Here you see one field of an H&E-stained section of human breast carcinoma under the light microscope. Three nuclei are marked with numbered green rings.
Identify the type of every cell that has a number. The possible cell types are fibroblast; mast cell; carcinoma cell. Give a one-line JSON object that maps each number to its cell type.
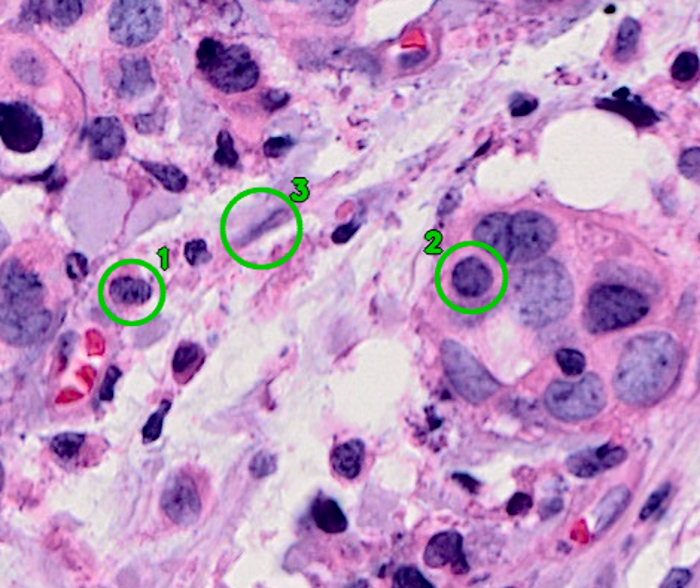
{"1": "mast cell", "2": "carcinoma cell", "3": "fibroblast"}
